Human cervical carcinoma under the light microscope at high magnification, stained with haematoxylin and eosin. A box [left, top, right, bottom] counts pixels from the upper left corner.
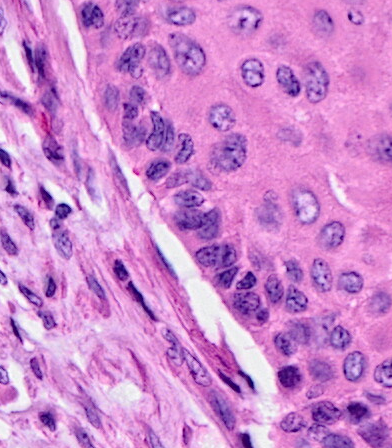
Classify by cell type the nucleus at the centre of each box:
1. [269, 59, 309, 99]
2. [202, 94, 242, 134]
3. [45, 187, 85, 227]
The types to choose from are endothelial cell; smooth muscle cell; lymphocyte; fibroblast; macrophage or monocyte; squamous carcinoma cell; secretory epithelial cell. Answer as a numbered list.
1. squamous carcinoma cell
2. squamous carcinoma cell
3. lymphocyte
